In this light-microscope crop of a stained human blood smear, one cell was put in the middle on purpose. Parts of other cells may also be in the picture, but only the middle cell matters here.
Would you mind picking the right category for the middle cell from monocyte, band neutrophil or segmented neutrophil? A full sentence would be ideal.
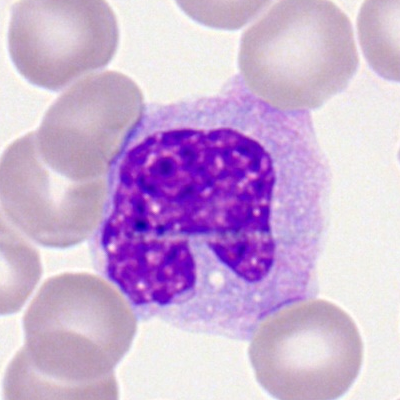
Answering briefly, the cell in the middle is a monocyte.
